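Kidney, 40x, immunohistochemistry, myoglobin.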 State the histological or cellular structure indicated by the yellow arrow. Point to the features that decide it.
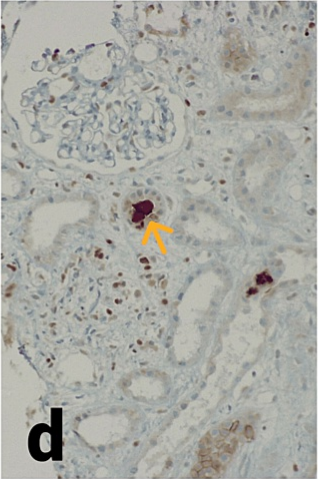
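A compact dark brown mass sits inside a small tubule. The mass is rounded and fills the tubular lumen. That points to this answer: Tubule cast.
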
